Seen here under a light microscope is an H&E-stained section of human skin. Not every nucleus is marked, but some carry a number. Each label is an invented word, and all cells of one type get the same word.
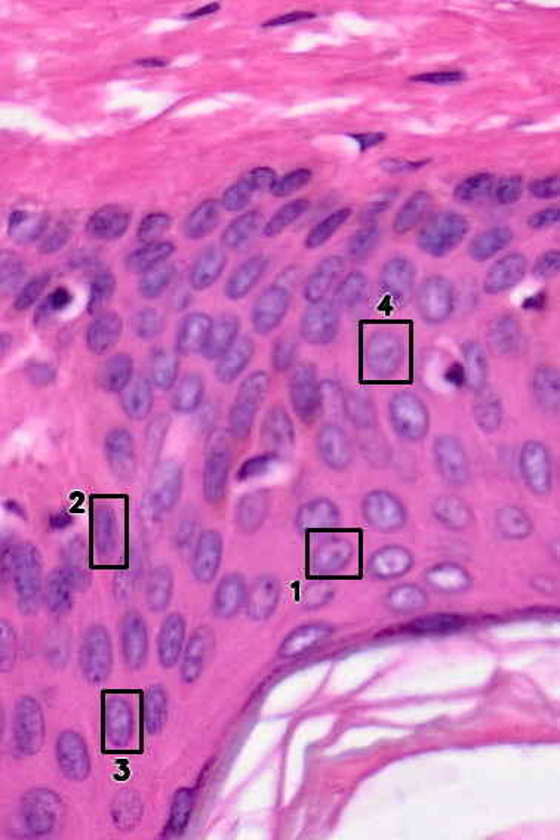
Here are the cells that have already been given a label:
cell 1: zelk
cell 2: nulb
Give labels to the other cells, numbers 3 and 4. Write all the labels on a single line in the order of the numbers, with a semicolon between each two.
zelk; zelk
